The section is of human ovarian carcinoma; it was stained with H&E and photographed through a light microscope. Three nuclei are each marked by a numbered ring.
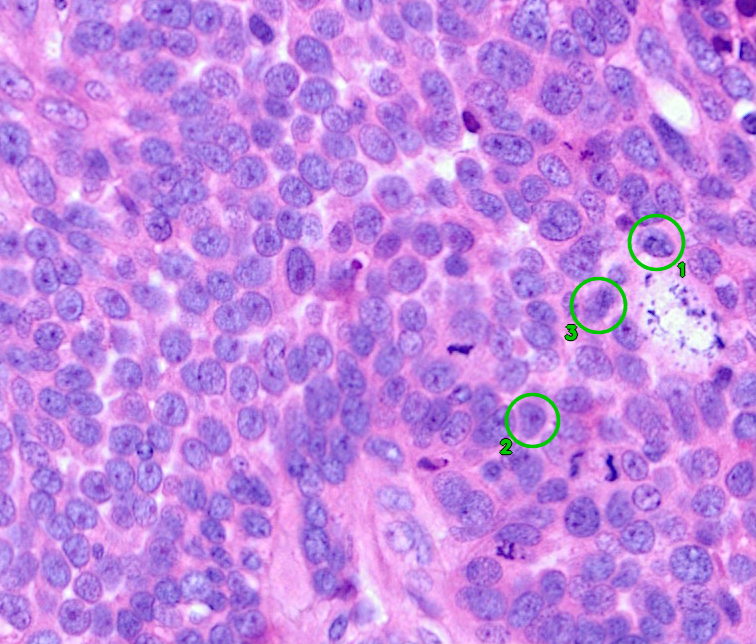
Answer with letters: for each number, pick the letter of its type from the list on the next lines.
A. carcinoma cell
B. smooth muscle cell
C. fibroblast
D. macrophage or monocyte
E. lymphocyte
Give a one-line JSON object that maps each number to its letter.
{"1": "D", "2": "A", "3": "A"}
